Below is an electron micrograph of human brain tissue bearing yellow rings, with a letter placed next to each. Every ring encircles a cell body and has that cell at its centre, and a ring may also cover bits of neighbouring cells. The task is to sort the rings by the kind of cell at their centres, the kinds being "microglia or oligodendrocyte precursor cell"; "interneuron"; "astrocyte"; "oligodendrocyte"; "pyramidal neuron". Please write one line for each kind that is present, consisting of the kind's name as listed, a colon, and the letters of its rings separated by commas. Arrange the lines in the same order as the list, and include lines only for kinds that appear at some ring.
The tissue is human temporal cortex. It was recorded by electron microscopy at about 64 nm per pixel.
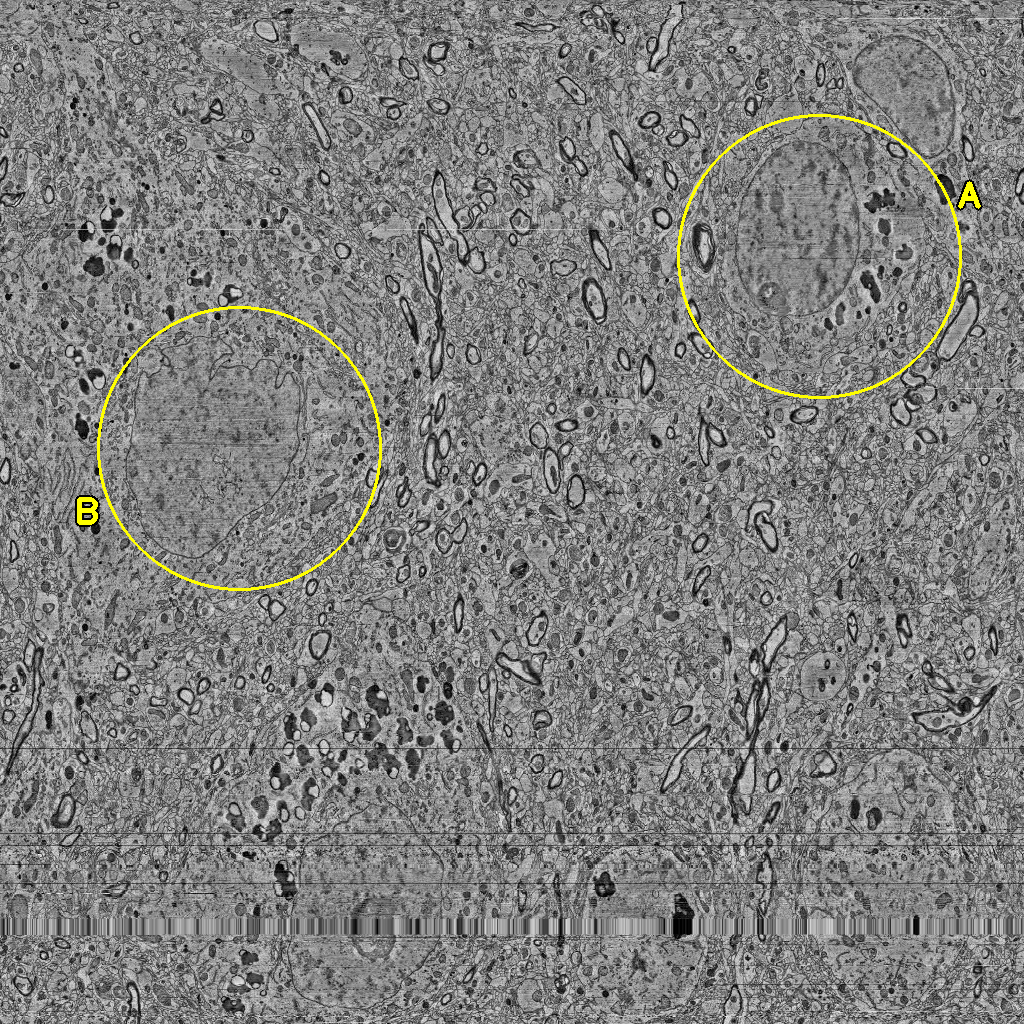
interneuron: A
pyramidal neuron: B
